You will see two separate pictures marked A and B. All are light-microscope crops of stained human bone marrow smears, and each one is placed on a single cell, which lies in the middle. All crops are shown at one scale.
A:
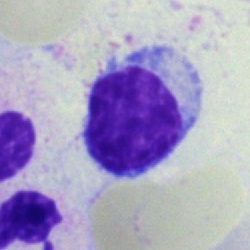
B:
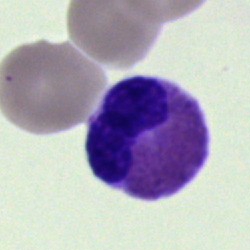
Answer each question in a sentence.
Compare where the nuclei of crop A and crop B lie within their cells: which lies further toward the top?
The nucleus in crop B lies further toward the top of its cell.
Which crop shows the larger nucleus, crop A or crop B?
Crop A shows the larger nucleus; it covers about 1.5 times the area of the nucleus in crop B.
